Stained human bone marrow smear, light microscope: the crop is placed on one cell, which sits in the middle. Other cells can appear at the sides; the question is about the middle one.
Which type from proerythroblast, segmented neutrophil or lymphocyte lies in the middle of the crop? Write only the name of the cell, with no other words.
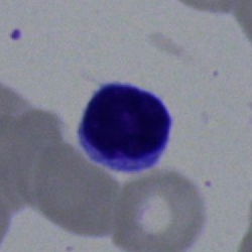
lymphocyte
